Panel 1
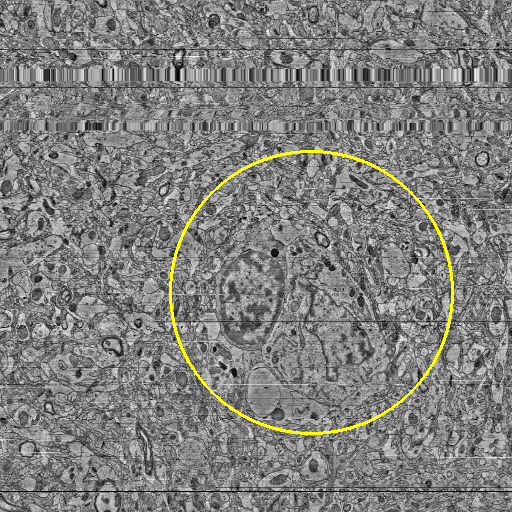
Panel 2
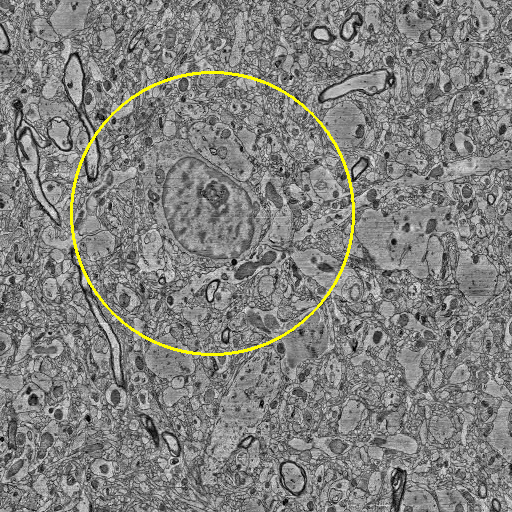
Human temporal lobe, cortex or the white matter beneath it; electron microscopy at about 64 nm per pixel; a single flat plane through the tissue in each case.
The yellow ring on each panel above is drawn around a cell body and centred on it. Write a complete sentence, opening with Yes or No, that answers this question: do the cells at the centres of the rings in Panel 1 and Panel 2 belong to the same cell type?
No, the two cells belong to two cell types.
